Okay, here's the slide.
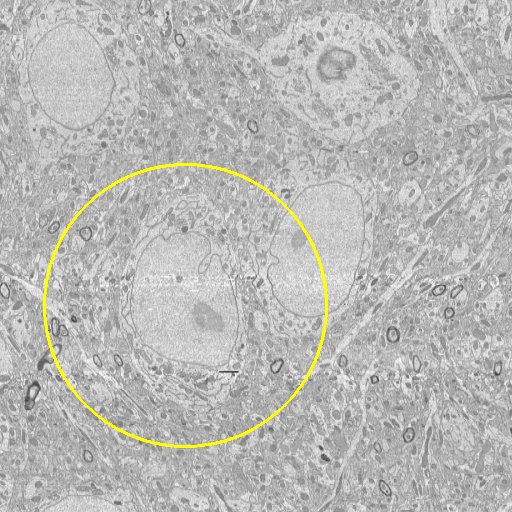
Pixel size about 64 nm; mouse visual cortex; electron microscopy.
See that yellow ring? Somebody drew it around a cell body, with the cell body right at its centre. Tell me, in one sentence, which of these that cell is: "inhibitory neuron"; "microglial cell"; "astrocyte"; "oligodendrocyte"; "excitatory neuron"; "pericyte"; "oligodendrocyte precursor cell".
The cell in the middle of the ring is an inhibitory neuron.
